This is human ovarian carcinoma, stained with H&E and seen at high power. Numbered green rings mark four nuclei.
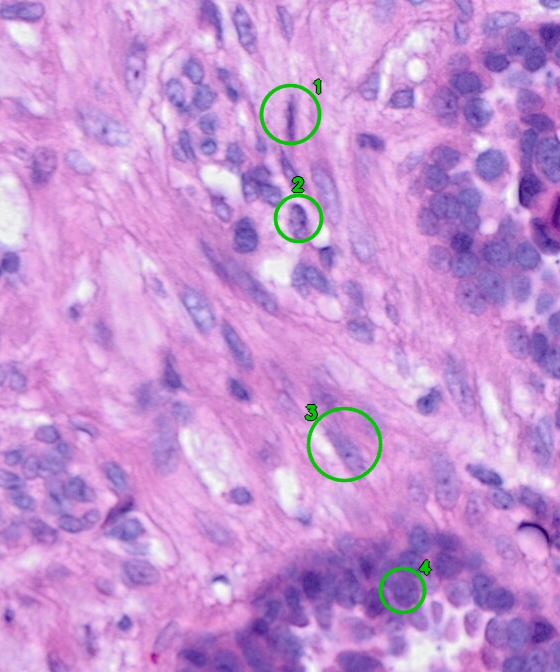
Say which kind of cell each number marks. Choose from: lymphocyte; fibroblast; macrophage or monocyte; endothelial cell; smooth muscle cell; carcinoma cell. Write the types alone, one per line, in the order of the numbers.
fibroblast
macrophage or monocyte
fibroblast
carcinoma cell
